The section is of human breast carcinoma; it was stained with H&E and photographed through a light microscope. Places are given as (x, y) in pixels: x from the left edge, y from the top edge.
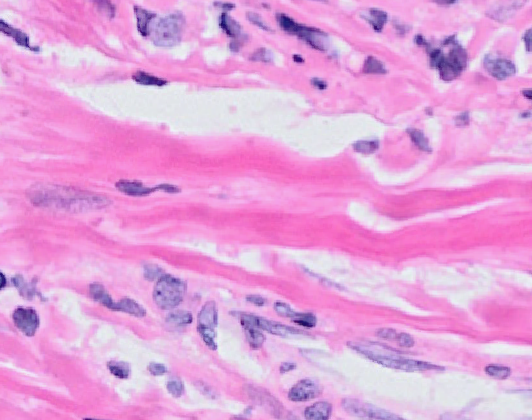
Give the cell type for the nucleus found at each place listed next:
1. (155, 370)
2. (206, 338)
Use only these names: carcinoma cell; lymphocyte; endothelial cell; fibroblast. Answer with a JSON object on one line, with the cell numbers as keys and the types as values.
{"1": "lymphocyte", "2": "endothelial cell"}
